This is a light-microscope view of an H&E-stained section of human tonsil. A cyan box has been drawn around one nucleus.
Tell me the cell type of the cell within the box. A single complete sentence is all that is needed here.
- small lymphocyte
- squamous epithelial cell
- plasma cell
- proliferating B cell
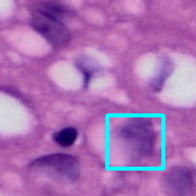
Microscopically, the cell within the box is categorized as a squamous epithelial cell.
